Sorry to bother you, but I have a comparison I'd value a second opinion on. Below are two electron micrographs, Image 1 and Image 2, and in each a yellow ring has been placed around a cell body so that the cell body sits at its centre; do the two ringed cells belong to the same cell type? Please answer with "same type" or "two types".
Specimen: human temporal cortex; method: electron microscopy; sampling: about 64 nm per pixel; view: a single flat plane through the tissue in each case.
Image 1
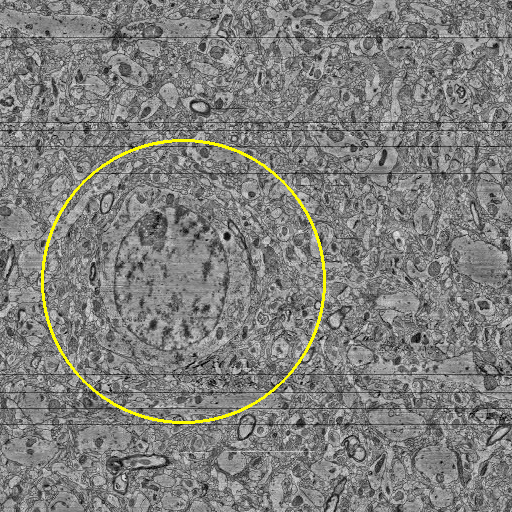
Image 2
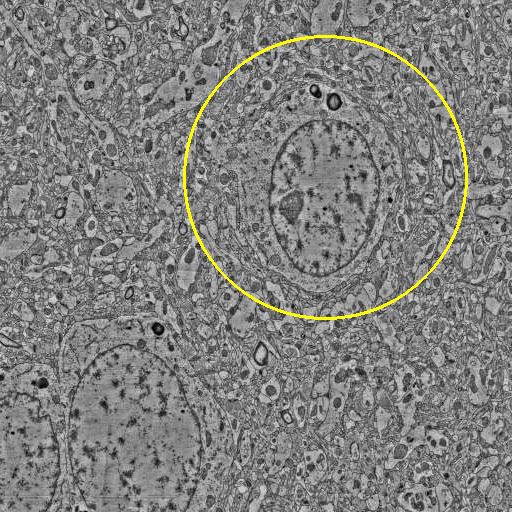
same type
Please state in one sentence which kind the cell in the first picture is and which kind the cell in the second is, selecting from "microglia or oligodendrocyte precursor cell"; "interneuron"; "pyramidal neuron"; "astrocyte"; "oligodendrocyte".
In both pictures the ring is centred on a pyramidal neuron.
